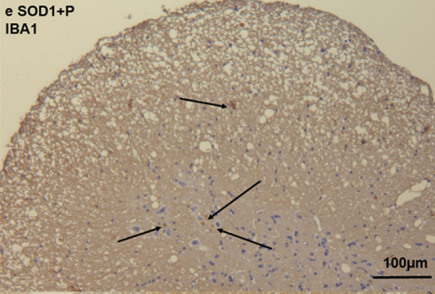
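The white matter looks spongy, full of small clear holes. Deeper in the gray matter, blue nuclei are more crowded, and a few brown cells lie among them.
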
